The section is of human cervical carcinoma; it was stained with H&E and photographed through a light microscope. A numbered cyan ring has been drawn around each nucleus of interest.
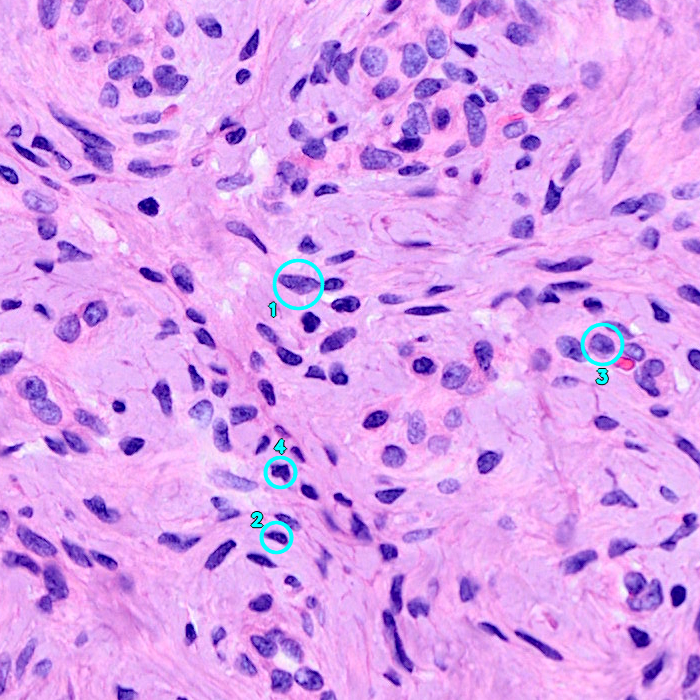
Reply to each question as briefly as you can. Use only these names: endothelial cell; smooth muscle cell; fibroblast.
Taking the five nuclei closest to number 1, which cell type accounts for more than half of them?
fibroblast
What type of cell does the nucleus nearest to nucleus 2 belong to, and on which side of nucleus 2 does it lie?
a fibroblast; above and to the right of nucleus 2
